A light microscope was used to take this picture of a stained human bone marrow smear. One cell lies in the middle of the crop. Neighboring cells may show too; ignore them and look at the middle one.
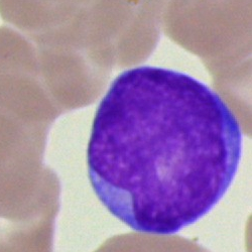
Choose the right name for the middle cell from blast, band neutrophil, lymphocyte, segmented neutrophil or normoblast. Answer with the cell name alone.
blast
